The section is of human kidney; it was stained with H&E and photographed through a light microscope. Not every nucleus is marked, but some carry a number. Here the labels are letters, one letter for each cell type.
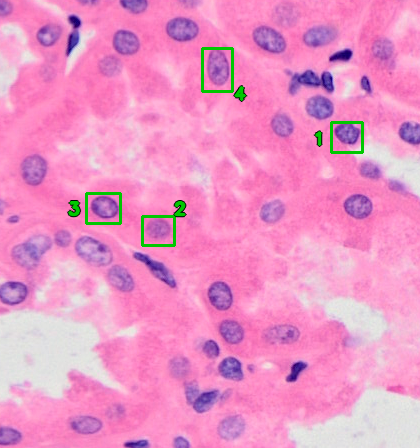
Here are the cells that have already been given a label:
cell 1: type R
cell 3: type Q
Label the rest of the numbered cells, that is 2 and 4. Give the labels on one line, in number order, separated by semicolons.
type Q; type Q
